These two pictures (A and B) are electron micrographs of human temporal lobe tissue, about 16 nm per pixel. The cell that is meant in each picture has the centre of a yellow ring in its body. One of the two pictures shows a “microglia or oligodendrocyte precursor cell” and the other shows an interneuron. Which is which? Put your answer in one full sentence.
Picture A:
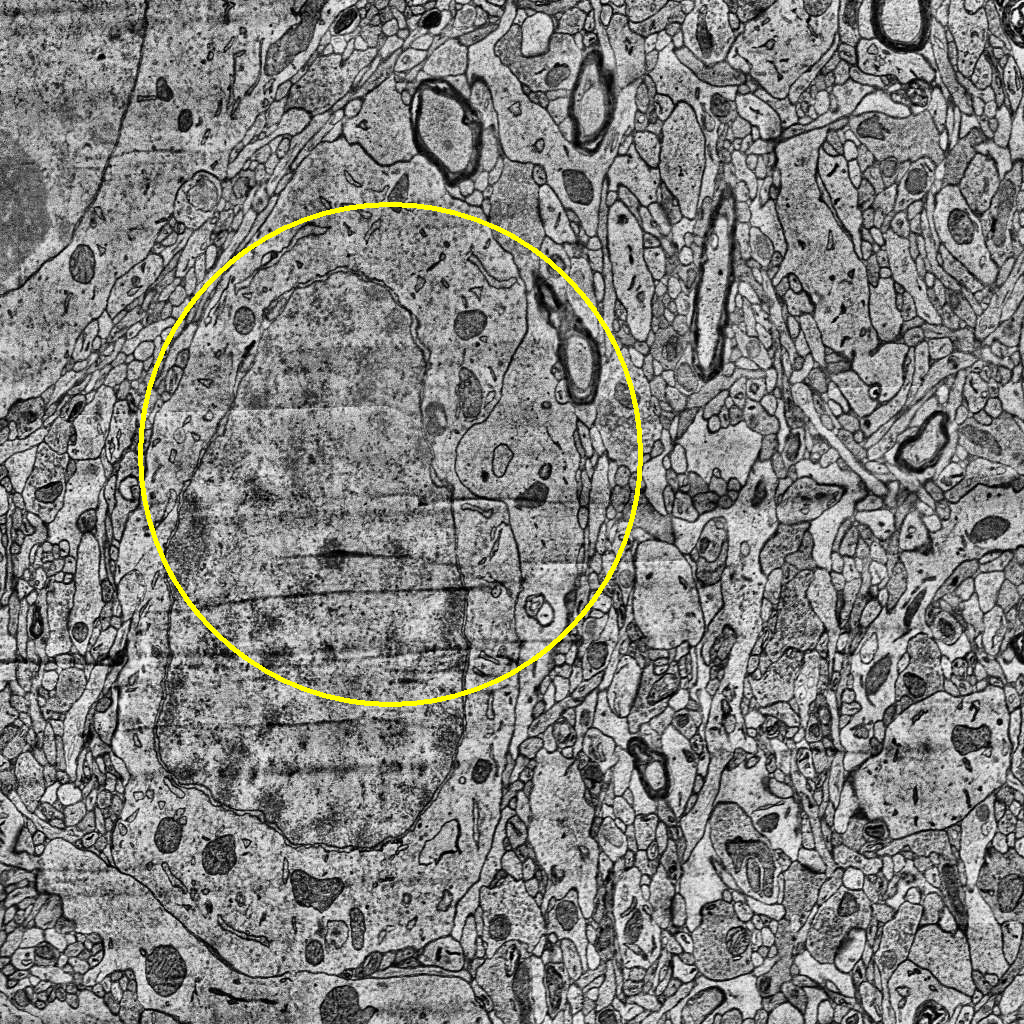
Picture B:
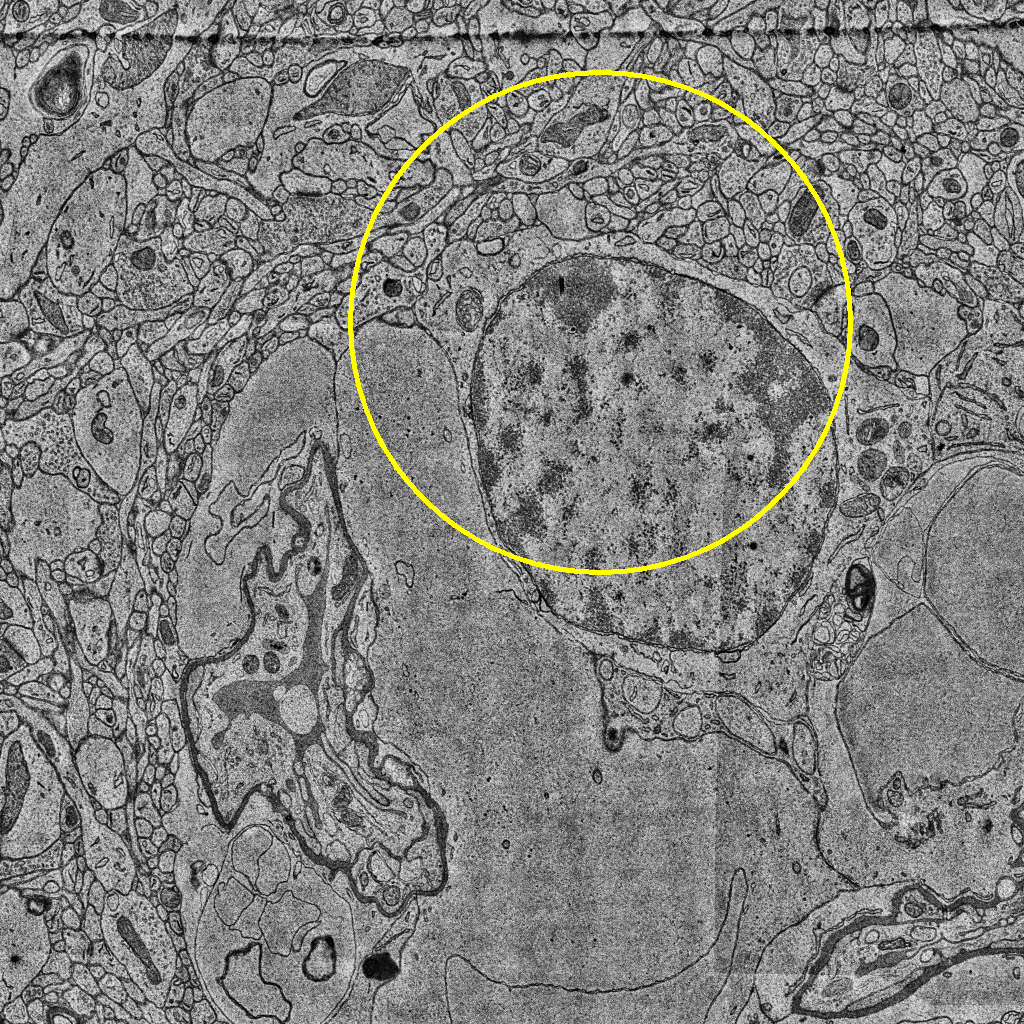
Picture A is of an interneuron, and picture B is of a “microglia or oligodendrocyte precursor cell”.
